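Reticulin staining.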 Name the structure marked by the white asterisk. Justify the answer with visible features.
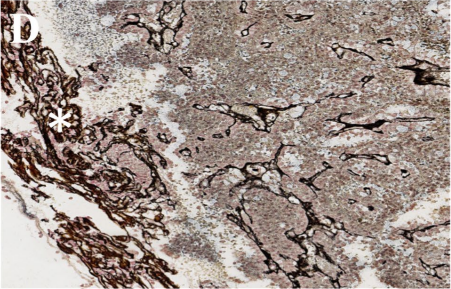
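Dense black fibers run in a band along the left edge.
Thin pseudocapsule.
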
